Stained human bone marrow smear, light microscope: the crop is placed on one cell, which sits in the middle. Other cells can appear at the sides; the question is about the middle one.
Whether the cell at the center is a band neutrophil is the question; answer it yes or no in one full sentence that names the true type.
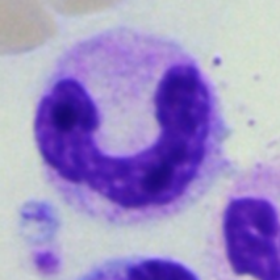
Yes, a band neutrophil is what the central cell is.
